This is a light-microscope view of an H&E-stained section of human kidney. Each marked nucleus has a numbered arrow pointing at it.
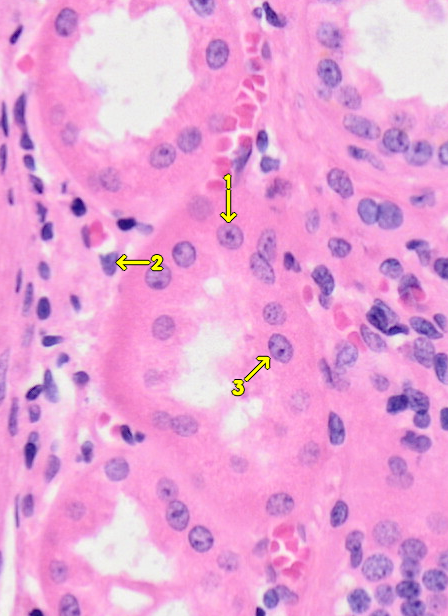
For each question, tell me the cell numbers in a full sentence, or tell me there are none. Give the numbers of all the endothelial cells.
Nothing but cell 2 is an endothelial cell among the numbered ones.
